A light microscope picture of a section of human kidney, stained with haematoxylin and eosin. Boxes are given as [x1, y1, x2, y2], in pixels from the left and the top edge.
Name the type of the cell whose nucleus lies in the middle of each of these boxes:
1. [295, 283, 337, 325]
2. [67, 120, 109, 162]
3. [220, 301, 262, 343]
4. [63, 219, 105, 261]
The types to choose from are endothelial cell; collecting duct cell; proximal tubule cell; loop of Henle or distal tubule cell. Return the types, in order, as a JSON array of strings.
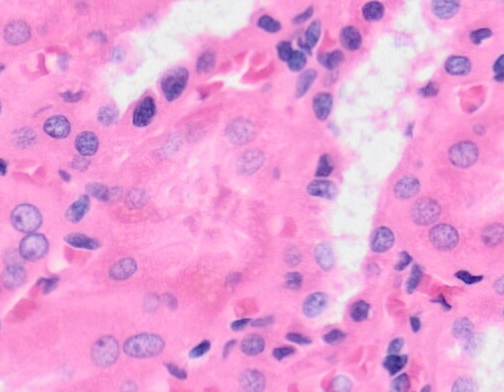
["loop of Henle or distal tubule cell", "loop of Henle or distal tubule cell", "endothelial cell", "endothelial cell"]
